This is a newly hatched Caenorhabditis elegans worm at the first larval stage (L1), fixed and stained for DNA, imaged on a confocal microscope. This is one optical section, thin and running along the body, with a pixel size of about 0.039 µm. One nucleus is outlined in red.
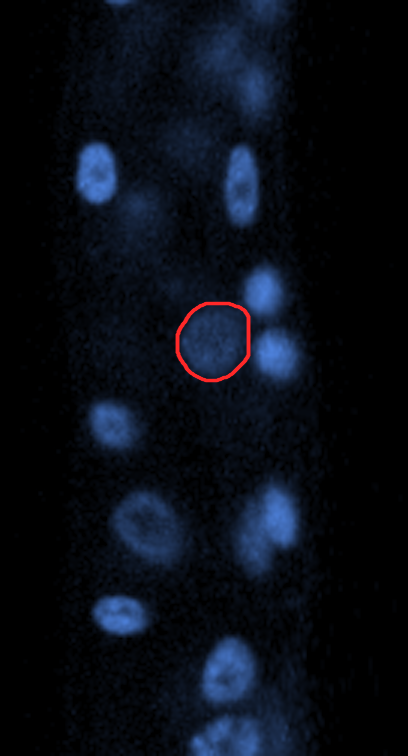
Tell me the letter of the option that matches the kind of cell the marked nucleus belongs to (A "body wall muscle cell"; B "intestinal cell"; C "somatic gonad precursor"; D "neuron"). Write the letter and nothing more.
B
